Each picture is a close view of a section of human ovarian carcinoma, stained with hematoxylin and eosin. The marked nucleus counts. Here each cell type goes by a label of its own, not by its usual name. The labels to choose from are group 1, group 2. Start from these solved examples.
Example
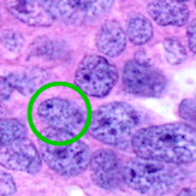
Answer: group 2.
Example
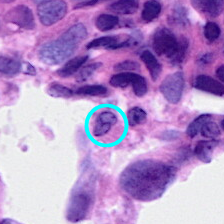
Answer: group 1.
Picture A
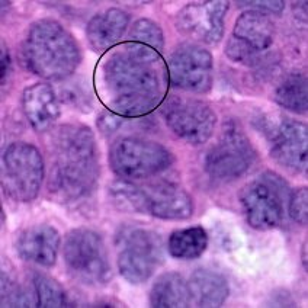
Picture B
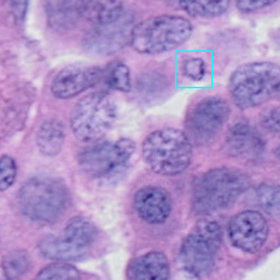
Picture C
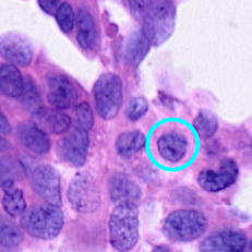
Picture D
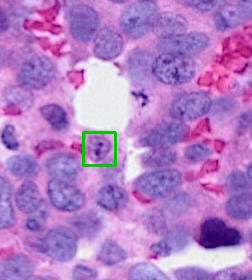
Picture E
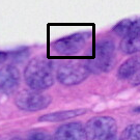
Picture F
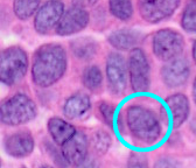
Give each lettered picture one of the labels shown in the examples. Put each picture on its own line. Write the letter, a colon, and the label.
A: group 2.
B: group 1.
C: group 1.
D: group 1.
E: group 2.
F: group 2.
